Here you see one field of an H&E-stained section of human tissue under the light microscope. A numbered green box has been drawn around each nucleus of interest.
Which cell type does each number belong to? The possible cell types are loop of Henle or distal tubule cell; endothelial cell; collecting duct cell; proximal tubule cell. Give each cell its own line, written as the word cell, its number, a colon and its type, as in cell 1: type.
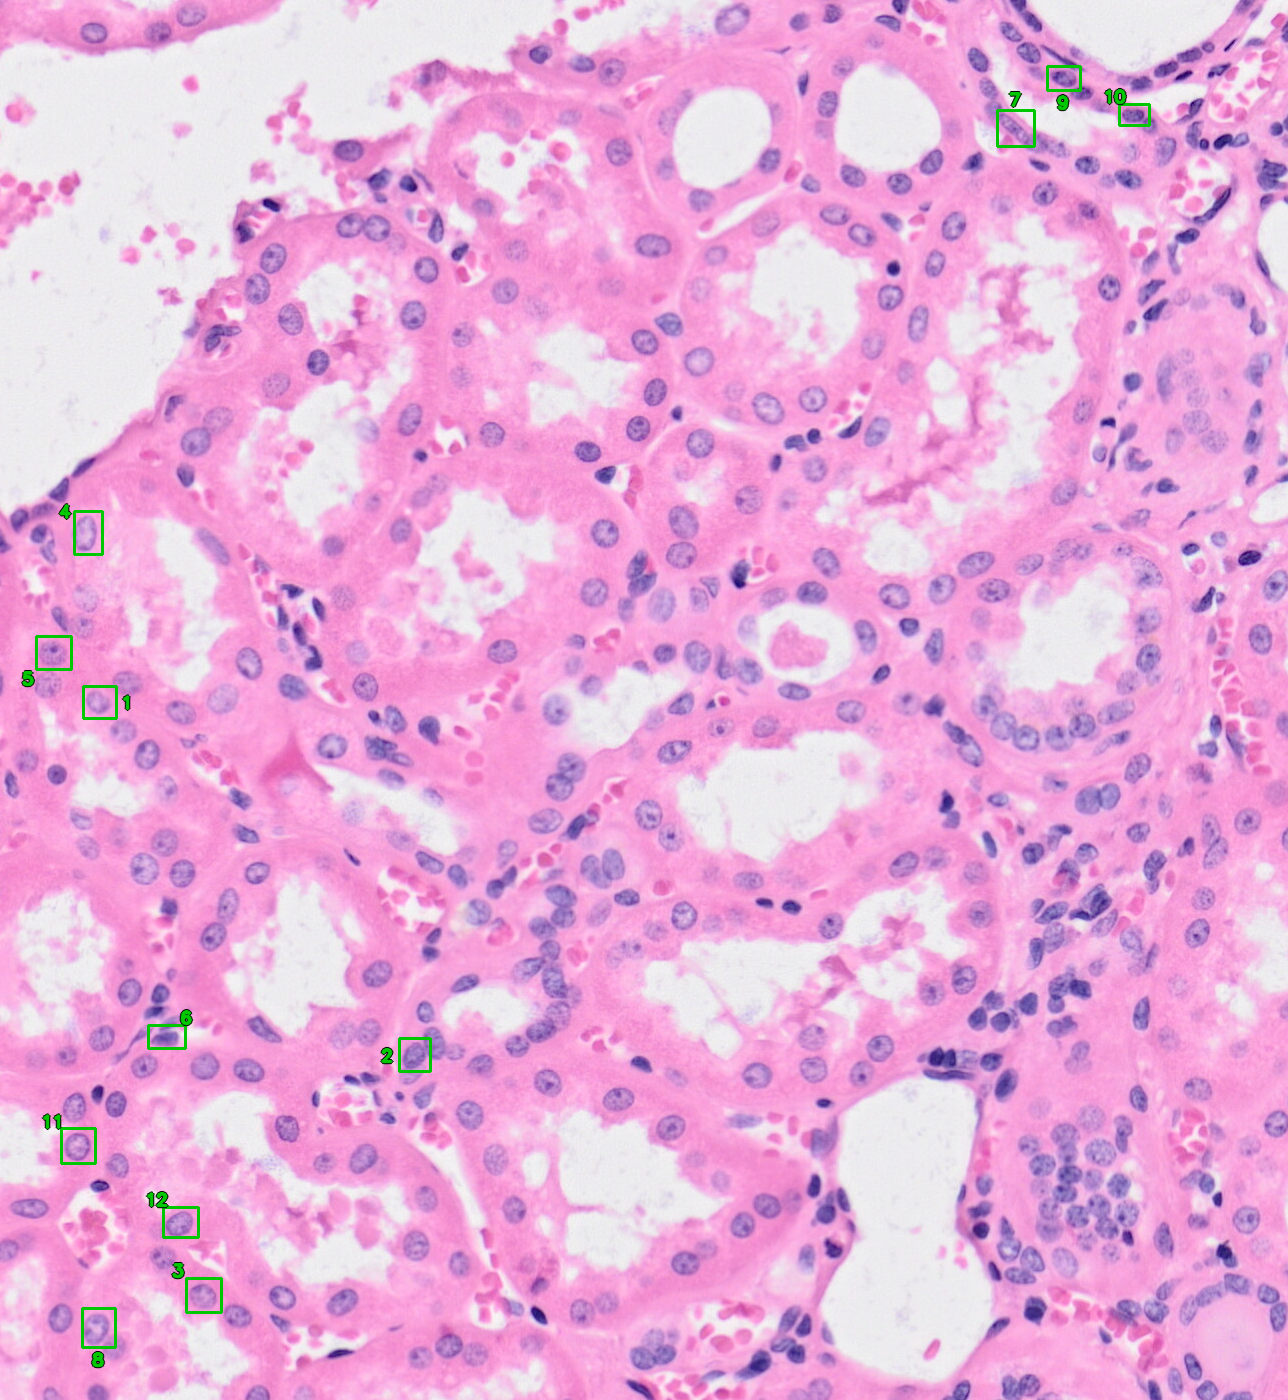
cell 1: proximal tubule cell
cell 2: collecting duct cell
cell 3: proximal tubule cell
cell 4: proximal tubule cell
cell 5: proximal tubule cell
cell 6: endothelial cell
cell 7: collecting duct cell
cell 8: proximal tubule cell
cell 9: collecting duct cell
cell 10: collecting duct cell
cell 11: proximal tubule cell
cell 12: proximal tubule cell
